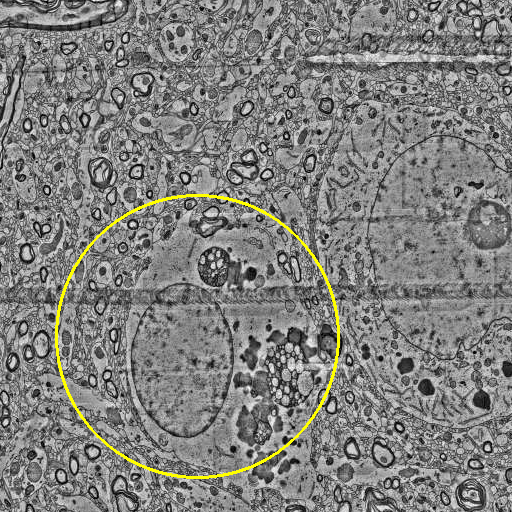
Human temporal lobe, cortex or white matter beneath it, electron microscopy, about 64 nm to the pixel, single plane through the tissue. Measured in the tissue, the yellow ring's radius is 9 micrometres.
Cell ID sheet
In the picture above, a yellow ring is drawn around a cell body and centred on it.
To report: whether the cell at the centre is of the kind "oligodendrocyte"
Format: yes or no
no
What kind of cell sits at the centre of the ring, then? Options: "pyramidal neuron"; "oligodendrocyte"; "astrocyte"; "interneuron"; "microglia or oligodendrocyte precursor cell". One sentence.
This picture has an astrocyte at the centre of its ring.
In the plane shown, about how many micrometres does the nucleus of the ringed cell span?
The nucleus comes to roughly 10 by 7 micrometres in this plane.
